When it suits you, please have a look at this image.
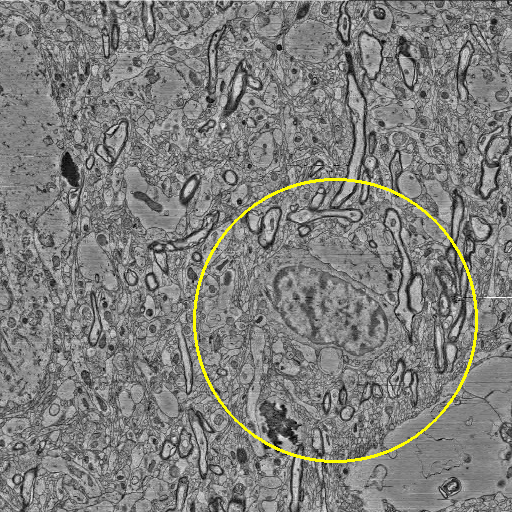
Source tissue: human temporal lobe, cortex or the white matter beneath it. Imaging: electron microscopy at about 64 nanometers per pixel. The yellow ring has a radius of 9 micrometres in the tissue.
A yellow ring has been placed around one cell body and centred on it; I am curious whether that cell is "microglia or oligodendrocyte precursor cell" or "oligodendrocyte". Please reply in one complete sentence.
The ringed cell, an oligodendrocyte, has its body at the centre of the yellow ring.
